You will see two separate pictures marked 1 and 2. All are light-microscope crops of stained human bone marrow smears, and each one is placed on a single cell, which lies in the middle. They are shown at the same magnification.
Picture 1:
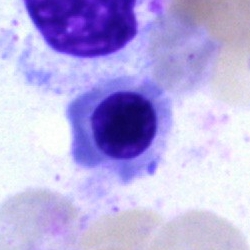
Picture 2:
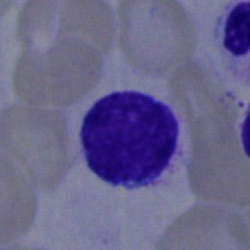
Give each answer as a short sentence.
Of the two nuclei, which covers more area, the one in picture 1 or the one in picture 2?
Larger is the nucleus in picture 2, at roughly 2 times the area of the other.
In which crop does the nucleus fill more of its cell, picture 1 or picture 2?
The nucleus fills more of the cell in picture 2 than in picture 1.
